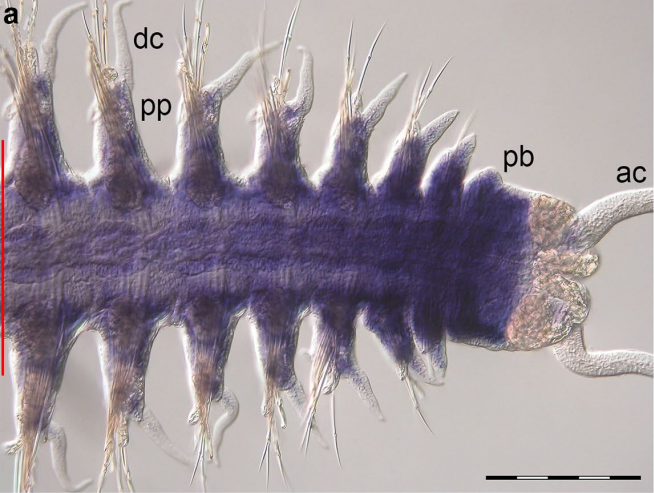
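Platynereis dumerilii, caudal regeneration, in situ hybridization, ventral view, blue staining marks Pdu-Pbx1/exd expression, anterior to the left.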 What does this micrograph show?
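The trunk is stained dark blue, most intensely toward the posterior, with a paler longitudinal band down the middle. Parapodia on each side carry bundles of long chaetae and slender cirri; they decrease in size toward the hind end, where the smallest are rounded buds. The terminal region is pale and granular, and the anal cirri are unstained, long and slender.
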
